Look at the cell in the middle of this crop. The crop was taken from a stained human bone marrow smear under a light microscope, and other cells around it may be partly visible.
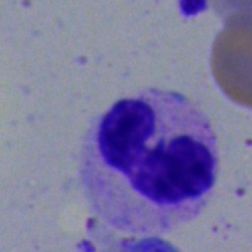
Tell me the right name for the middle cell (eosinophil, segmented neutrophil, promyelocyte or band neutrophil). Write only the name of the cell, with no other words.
band neutrophil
